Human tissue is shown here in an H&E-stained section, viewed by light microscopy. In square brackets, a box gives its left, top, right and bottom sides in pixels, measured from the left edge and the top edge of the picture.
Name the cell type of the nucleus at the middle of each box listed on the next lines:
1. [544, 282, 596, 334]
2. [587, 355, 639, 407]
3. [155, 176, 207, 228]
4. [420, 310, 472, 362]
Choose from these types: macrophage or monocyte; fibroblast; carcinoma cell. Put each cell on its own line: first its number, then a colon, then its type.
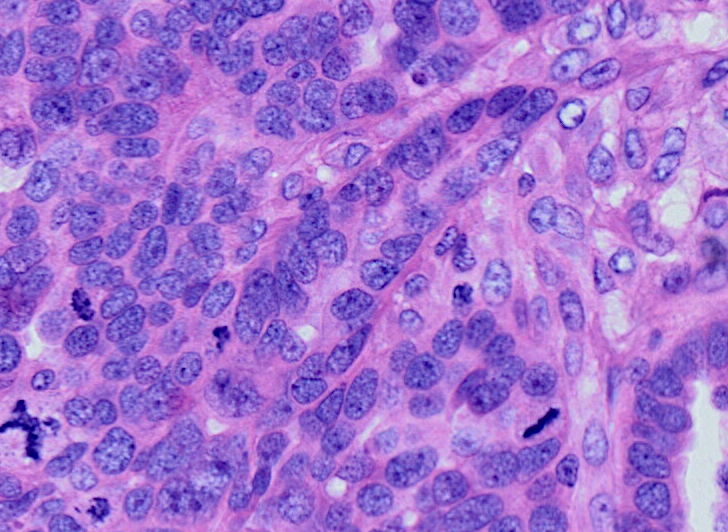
1: fibroblast
2: fibroblast
3: carcinoma cell
4: carcinoma cell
